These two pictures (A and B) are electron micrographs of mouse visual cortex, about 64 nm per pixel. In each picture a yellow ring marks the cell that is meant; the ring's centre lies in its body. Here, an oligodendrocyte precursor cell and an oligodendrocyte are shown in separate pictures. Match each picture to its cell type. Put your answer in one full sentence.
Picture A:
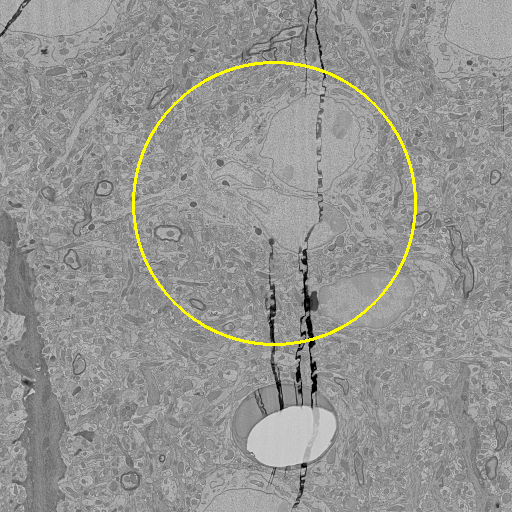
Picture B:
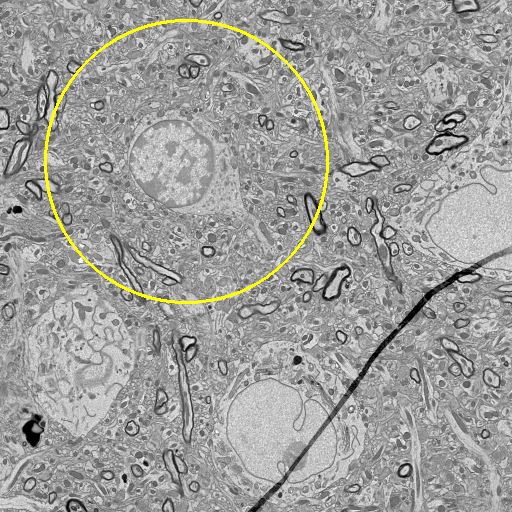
Picture B shows an oligodendrocyte, while picture A shows an oligodendrocyte precursor cell.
